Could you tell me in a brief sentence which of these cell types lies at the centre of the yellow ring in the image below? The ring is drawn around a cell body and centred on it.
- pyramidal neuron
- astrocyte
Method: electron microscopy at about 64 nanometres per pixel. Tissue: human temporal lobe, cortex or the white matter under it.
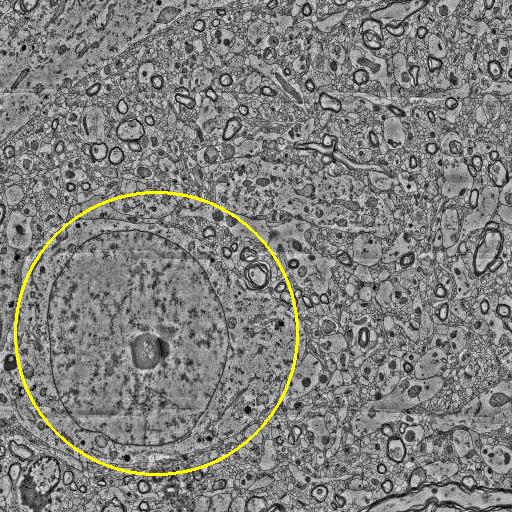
The cell centred in the ring is a pyramidal neuron.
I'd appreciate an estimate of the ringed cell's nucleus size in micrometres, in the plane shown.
In this plane the nucleus spans approximately 14 by 12 micrometers.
